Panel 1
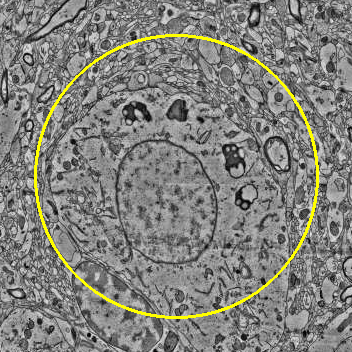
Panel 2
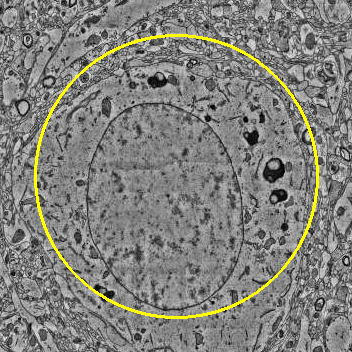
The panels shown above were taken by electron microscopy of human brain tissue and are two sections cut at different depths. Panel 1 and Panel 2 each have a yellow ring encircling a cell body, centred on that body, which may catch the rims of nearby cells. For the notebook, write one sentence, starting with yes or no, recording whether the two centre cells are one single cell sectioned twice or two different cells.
Yes, only one cell is involved, and both rings mark it.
